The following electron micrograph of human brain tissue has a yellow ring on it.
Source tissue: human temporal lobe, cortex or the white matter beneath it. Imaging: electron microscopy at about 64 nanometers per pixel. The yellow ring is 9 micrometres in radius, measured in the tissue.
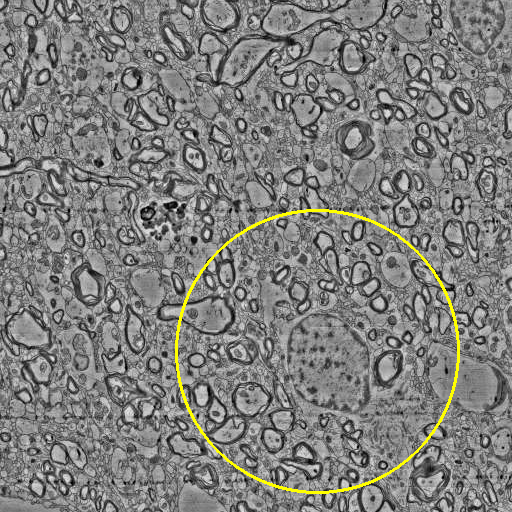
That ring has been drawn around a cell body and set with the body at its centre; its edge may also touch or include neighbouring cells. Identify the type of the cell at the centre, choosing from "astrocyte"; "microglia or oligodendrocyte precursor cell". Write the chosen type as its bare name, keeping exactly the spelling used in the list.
microglia or oligodendrocyte precursor cell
